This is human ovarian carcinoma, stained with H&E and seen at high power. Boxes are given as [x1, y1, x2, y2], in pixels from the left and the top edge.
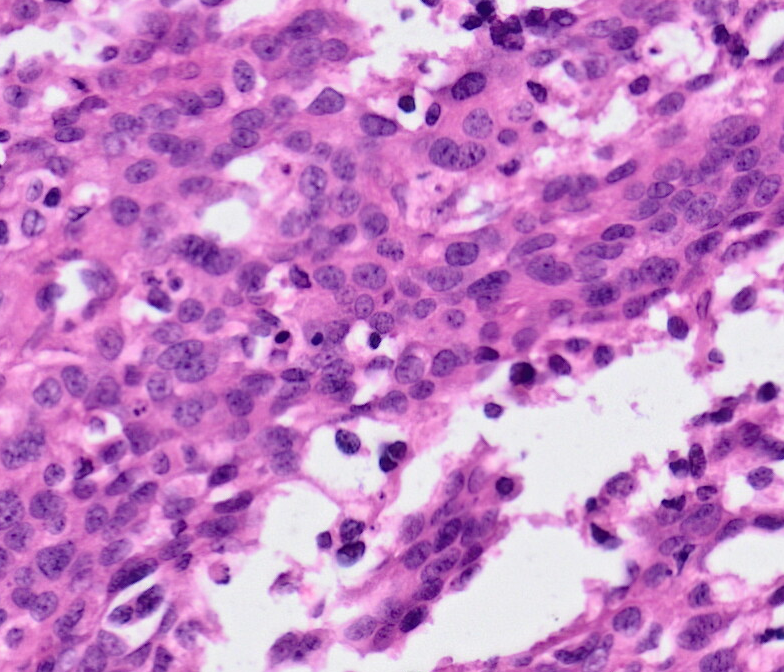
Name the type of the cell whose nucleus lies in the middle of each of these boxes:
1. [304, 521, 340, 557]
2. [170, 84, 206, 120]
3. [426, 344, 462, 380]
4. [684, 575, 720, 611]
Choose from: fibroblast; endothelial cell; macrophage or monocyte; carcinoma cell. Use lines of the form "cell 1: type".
cell 1: carcinoma cell
cell 2: carcinoma cell
cell 3: carcinoma cell
cell 4: macrophage or monocyte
